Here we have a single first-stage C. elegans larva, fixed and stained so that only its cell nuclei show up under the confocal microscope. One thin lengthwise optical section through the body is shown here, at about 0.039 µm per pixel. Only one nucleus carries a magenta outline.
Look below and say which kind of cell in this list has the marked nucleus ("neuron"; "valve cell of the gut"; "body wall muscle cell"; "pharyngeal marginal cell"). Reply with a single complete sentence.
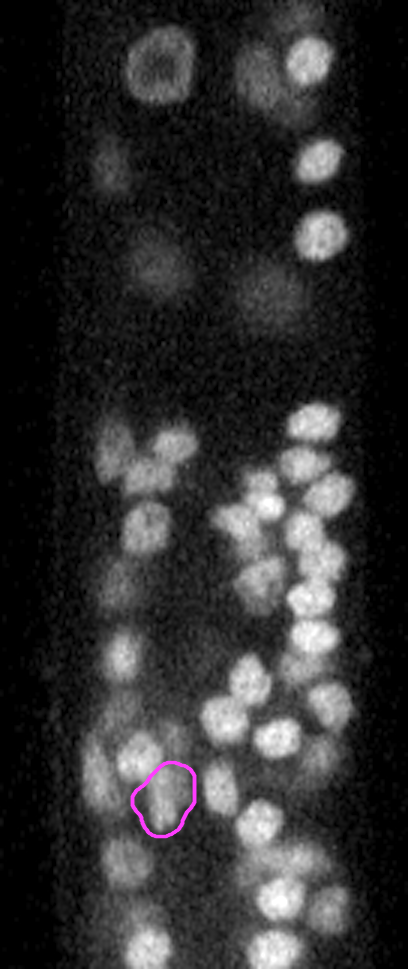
The marked nucleus belongs to a pharyngeal marginal cell.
